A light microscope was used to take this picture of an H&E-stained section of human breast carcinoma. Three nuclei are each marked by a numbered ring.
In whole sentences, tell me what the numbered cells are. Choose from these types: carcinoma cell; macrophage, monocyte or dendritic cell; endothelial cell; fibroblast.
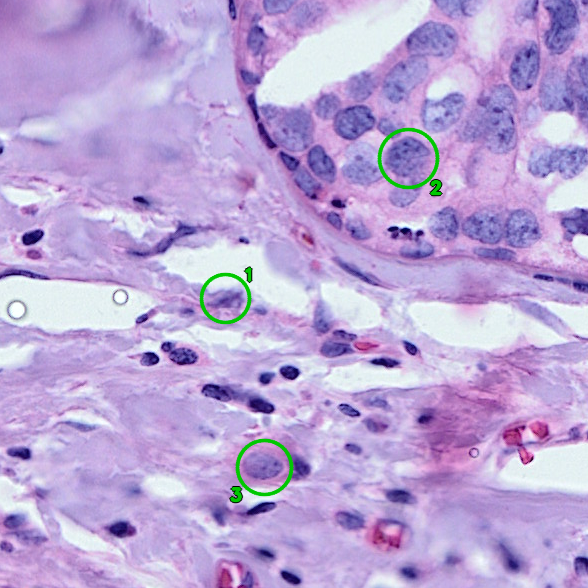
Cell 1 is a fibroblast, cell 2 is a carcinoma cell and cell 3 is an endothelial cell.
